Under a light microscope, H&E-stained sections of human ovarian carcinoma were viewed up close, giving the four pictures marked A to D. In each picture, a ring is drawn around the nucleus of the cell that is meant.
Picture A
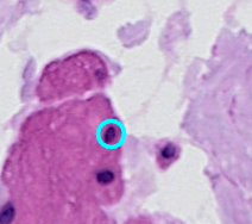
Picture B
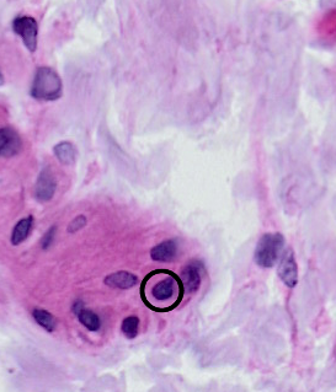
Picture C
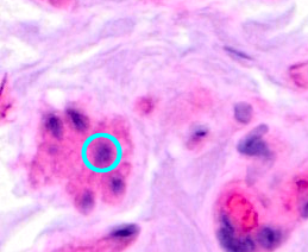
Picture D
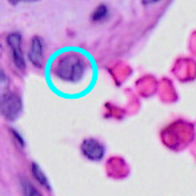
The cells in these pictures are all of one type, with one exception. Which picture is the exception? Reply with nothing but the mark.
D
